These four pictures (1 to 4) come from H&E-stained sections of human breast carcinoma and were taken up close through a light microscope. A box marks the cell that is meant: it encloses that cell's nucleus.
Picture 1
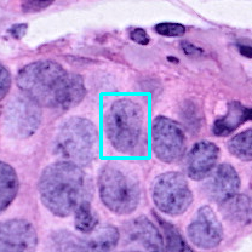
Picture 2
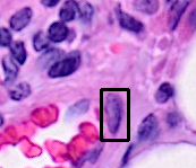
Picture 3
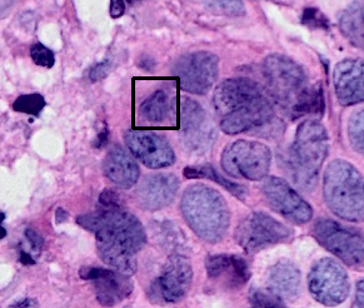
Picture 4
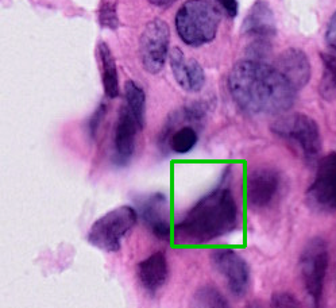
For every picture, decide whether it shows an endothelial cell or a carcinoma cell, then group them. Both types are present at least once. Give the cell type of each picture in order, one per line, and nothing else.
carcinoma cell
endothelial cell
carcinoma cell
carcinoma cell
